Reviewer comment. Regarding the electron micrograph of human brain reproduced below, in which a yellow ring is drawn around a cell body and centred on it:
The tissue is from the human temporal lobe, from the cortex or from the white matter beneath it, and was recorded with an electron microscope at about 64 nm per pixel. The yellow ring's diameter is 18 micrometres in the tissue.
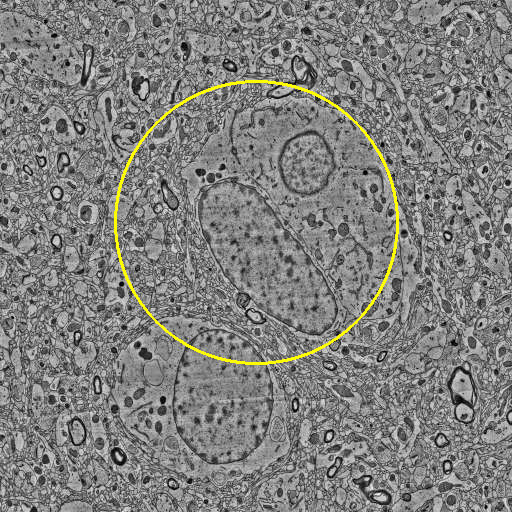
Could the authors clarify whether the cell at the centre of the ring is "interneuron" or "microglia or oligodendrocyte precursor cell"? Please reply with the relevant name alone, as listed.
microglia or oligodendrocyte precursor cell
